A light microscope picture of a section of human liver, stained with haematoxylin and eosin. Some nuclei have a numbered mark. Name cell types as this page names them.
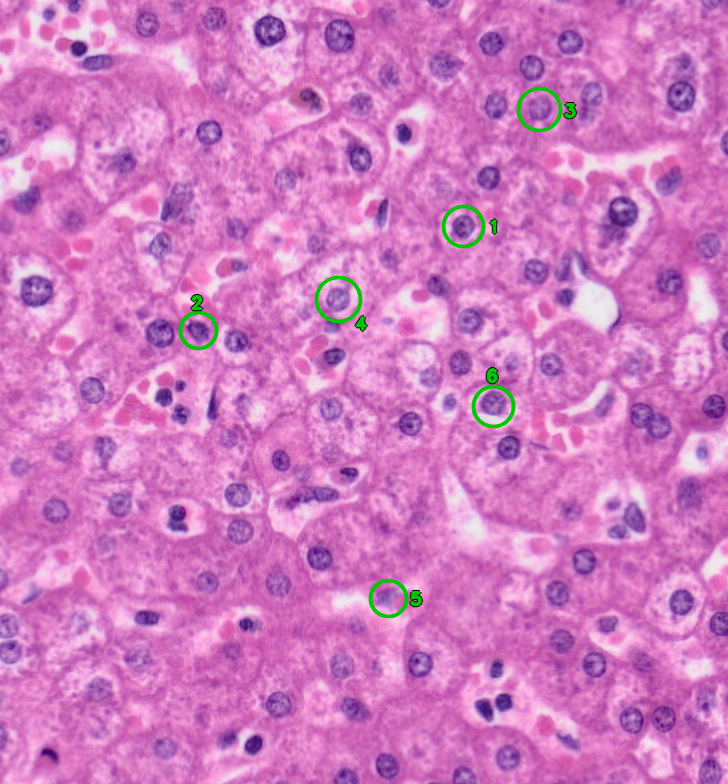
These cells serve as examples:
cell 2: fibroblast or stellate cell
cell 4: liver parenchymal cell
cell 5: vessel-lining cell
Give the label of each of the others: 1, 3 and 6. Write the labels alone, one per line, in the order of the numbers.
liver parenchymal cell
liver parenchymal cell
liver parenchymal cell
